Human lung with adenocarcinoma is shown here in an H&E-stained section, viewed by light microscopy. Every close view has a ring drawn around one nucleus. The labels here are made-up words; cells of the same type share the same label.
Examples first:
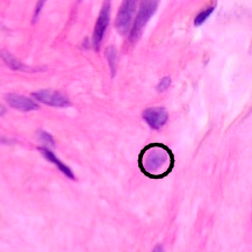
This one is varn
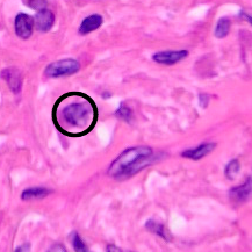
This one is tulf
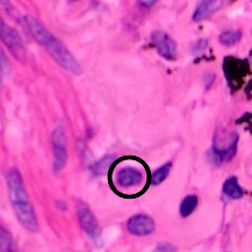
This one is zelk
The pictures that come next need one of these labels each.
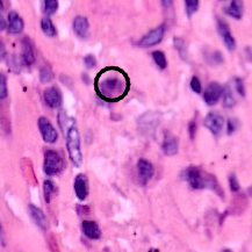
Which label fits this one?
tulf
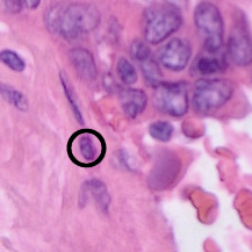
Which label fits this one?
zelk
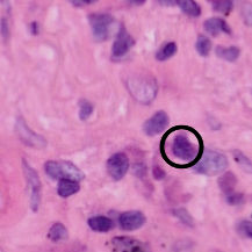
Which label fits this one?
tulf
